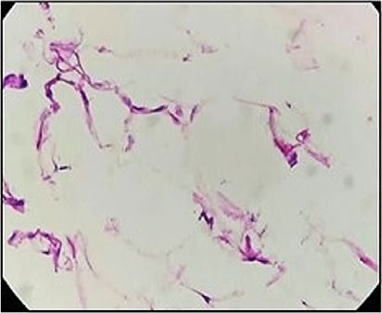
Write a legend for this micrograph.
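This is fat tissue in which the adipocytes have lost much of their structure. Large pale areas fill most of the field, and only a few of them are still enclosed by faint cell borders. Across the field run scattered, irregular purple-pink strands that look like torn and crumpled membrane and septa rather than continuous cell boundaries. Very few nuclei can be made out. The regular honeycomb arrangement of closed, rounded cell outlines expected in fat tissue is missing over most of the field, which points to disrupted adipocytes.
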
